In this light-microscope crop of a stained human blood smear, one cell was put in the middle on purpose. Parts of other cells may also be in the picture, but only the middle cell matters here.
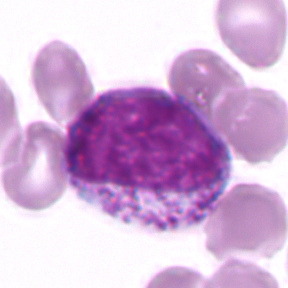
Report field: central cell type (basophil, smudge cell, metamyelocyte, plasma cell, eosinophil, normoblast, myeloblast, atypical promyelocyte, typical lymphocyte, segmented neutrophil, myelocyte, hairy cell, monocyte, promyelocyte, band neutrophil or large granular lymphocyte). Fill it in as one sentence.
In this smear crop, the middle cell is a metamyelocyte.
